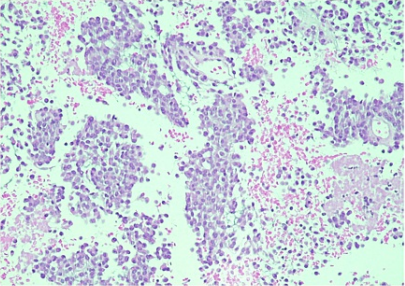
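Irregular nests and cords of densely packed tumor cells lie in a pale, loose, almost empty-looking stroma. The cells have round to oval purple nuclei and scant pale pink to lilac cytoplasm, crowded together with little space between them. Between the nests there are scattered red blood cells and a few thin-walled vessels with pink walls. This is a cellular tumor growing in clusters separated by loose, hemorrhagic background.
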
